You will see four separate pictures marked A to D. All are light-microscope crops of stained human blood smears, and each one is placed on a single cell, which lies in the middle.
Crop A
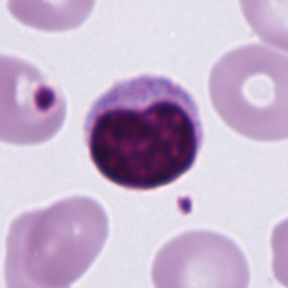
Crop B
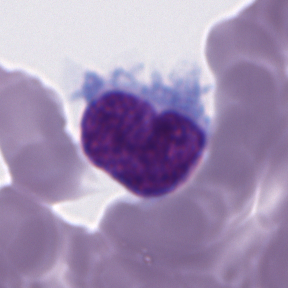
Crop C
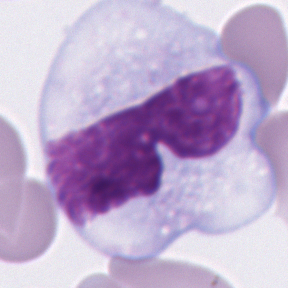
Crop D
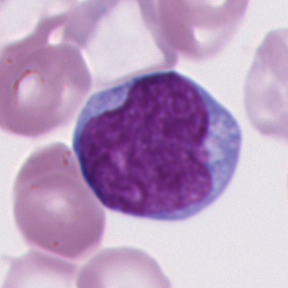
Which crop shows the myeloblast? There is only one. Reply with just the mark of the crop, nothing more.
D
